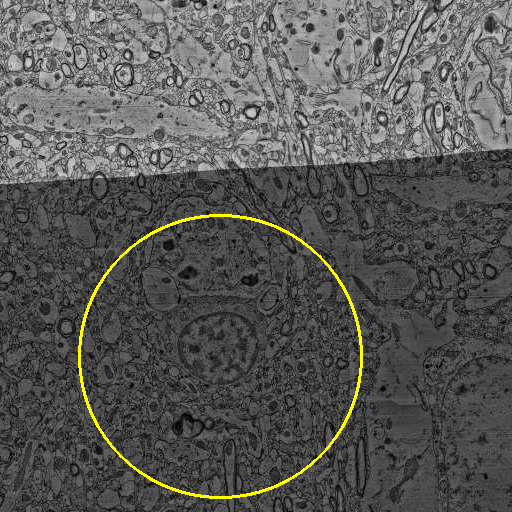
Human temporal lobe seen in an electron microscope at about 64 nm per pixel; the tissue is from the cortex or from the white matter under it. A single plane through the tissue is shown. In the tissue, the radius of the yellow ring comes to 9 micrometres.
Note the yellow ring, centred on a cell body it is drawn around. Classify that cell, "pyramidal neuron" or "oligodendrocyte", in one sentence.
The cell the ring is centred on is an oligodendrocyte.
